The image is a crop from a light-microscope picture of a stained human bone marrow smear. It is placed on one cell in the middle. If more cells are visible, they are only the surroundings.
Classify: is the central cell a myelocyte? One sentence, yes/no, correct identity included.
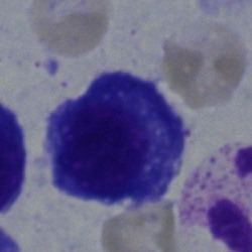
No, in the centre of the crop lies a plasma cell, not a myelocyte.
